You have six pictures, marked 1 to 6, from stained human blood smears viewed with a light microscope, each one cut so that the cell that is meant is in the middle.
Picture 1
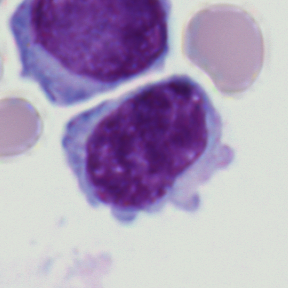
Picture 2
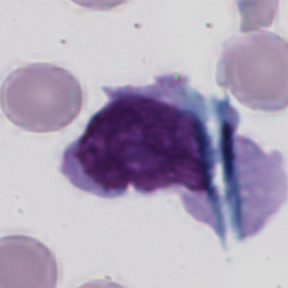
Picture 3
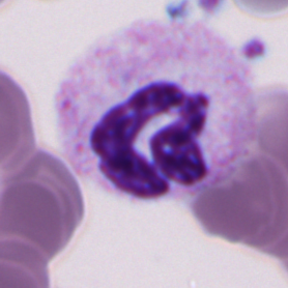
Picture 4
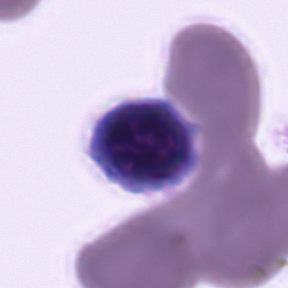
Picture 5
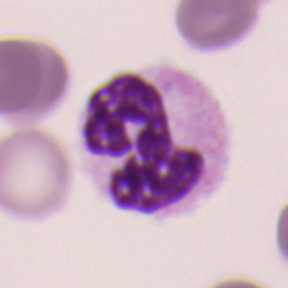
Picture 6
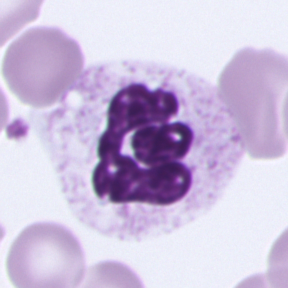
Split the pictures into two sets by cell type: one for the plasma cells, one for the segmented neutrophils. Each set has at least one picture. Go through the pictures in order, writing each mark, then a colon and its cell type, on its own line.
1: plasma cell
2: plasma cell
3: segmented neutrophil
4: plasma cell
5: segmented neutrophil
6: segmented neutrophil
